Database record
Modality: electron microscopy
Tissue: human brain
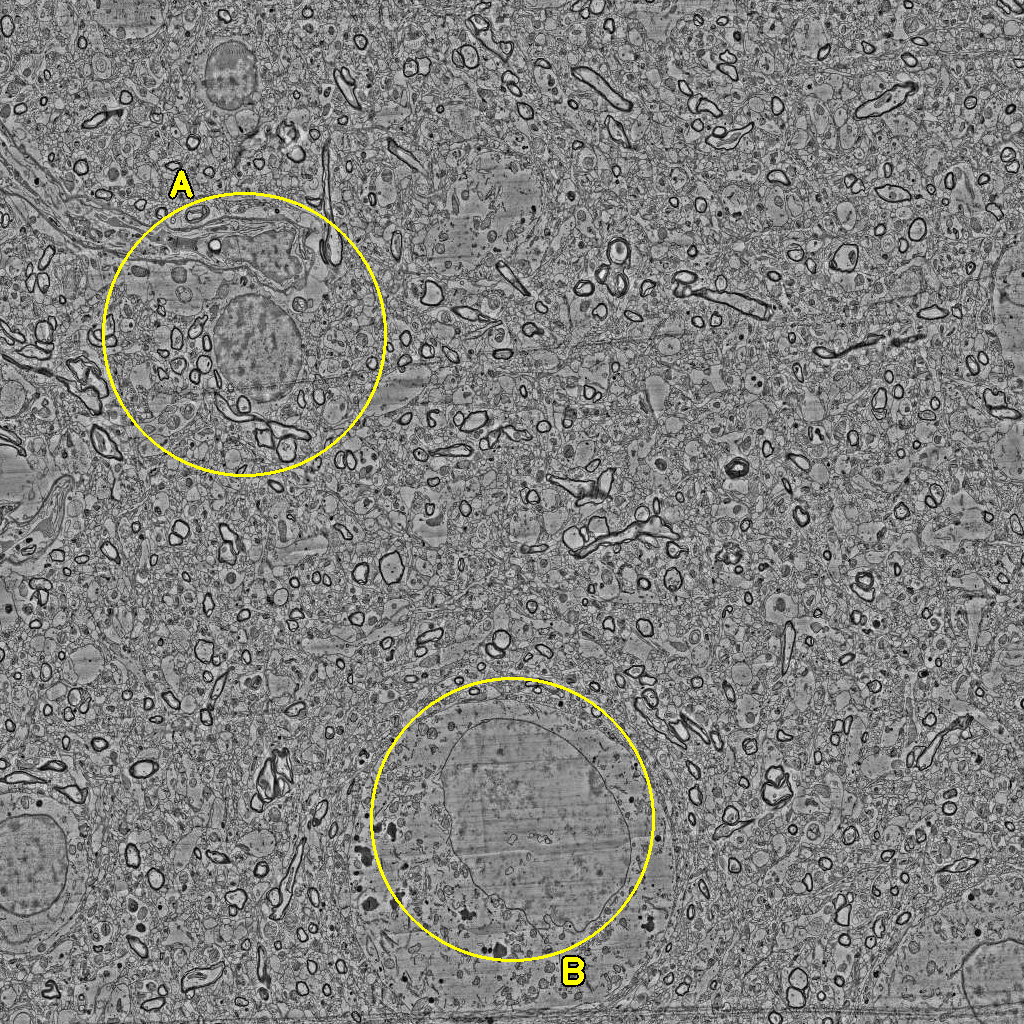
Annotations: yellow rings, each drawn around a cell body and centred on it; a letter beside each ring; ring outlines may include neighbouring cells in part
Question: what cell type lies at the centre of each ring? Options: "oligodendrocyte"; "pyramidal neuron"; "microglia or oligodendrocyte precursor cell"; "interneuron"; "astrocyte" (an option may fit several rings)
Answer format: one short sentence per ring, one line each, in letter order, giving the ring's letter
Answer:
Ring A corresponds to an oligodendrocyte.
Ring B corresponds to a pyramidal neuron.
